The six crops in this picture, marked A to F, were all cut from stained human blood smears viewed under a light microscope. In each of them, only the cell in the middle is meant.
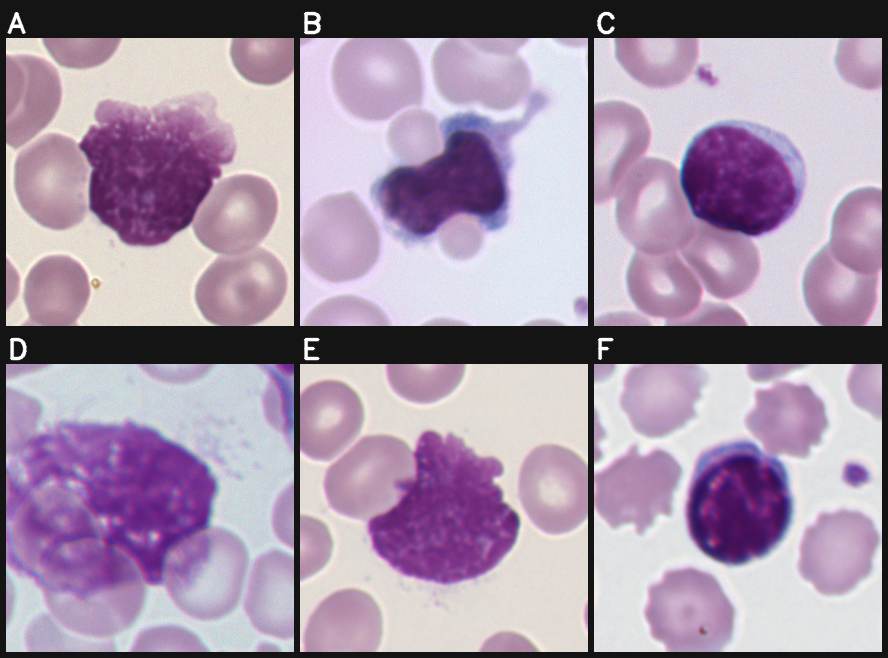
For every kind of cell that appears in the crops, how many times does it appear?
smudge cell: 3
typical lymphocyte: 3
